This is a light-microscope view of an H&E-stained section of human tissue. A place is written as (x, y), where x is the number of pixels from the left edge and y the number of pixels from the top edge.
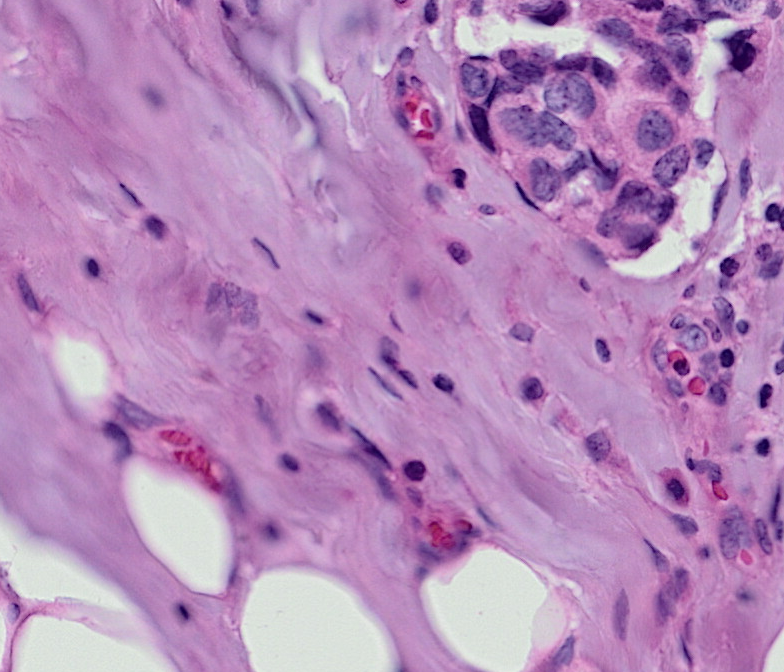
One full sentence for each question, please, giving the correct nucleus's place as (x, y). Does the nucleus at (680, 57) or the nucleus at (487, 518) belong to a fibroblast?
The nucleus located at (487, 518) is the one held within a fibroblast.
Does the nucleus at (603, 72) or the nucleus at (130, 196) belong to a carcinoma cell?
The nucleus at (603, 72) is housed in a carcinoma cell.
